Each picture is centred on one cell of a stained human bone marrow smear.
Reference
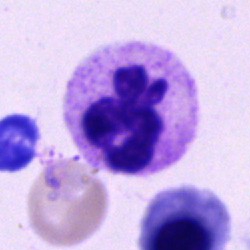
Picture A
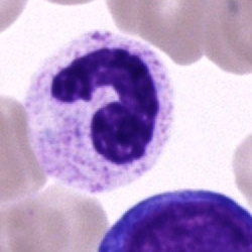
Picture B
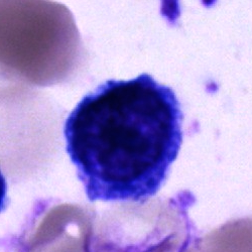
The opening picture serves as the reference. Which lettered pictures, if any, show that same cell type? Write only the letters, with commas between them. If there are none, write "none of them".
A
